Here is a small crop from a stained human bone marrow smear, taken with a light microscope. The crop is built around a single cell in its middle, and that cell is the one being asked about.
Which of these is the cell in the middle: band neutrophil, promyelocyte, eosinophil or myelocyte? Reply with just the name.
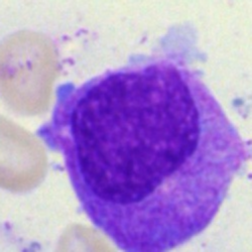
promyelocyte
